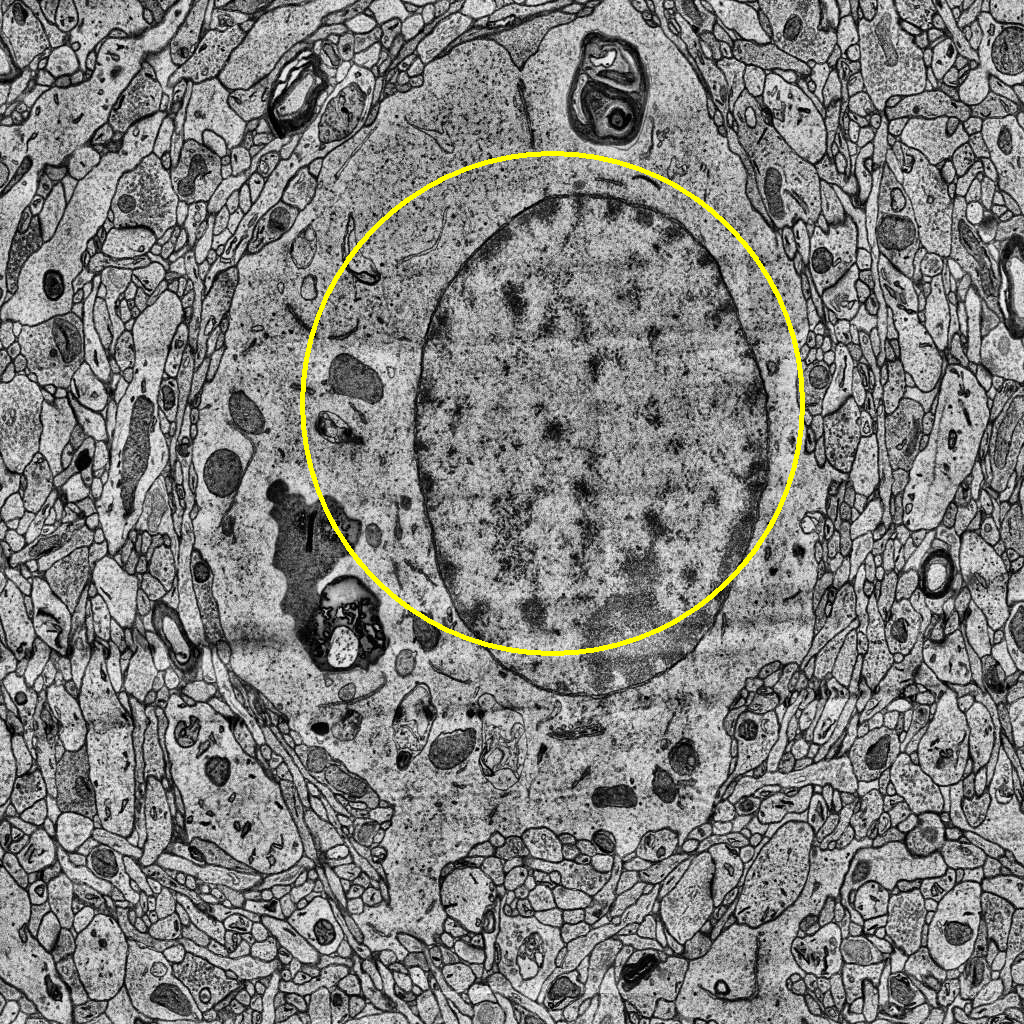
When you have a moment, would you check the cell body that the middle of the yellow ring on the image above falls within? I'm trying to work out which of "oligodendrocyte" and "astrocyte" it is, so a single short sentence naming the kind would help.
This cell body belongs to an astrocyte.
